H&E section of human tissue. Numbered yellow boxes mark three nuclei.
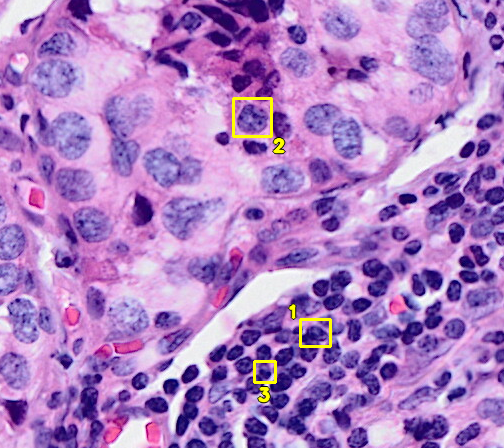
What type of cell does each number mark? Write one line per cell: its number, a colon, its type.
1: lymphocyte
2: carcinoma cell
3: lymphocyte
